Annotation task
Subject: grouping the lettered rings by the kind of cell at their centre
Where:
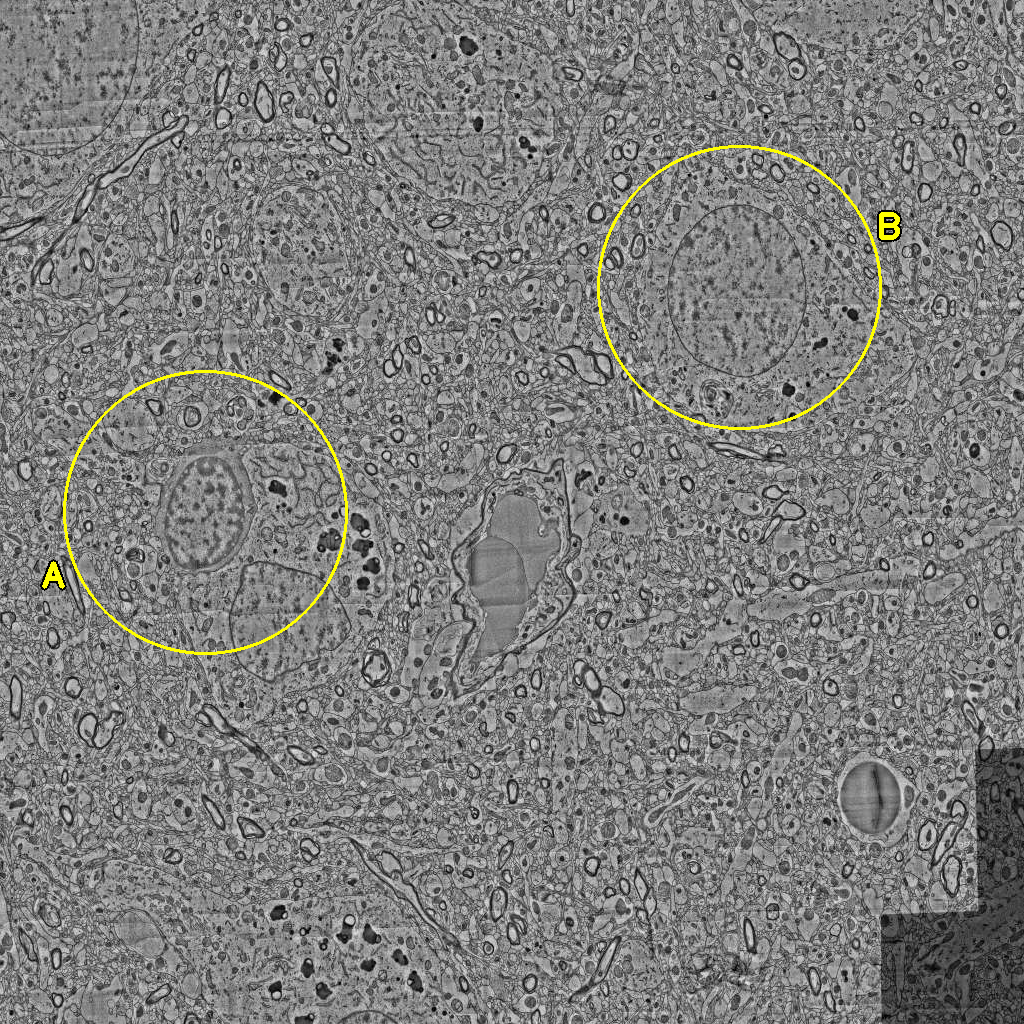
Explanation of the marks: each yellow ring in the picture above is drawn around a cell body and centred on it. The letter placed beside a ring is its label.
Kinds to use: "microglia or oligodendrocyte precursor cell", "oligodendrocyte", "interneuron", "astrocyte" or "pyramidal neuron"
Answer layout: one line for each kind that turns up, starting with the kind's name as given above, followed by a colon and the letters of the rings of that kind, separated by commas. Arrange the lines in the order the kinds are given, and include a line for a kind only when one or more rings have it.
oligodendrocyte: A
pyramidal neuron: B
